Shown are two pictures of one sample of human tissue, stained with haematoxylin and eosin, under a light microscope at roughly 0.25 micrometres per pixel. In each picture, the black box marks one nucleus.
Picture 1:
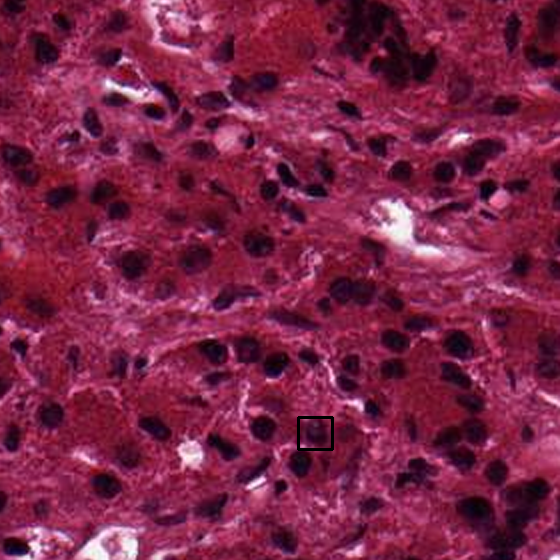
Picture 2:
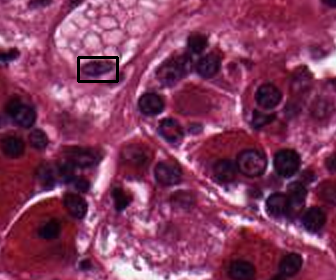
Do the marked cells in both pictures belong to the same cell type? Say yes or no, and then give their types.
No, the first is an anterior pituitary cell and the second an endothelial cell.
